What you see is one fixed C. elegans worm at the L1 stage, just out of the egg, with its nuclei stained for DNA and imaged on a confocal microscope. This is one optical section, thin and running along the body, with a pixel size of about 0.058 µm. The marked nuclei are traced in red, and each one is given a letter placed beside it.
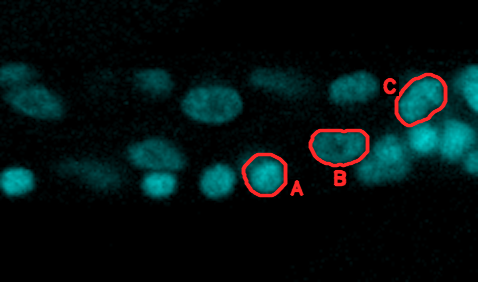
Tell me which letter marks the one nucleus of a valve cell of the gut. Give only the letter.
C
